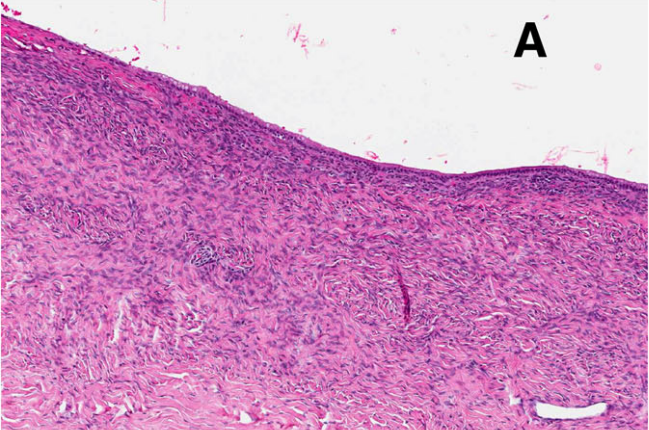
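This is the wall of a cystic neoplasm with a thin epithelial lining along the surface and, beneath it, a dense ovarian-type stroma. The stroma is made of closely packed spindle cells with dark oval nuclei in a pink background, more cellular near the surface and looser and more collagenous deeper down.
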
